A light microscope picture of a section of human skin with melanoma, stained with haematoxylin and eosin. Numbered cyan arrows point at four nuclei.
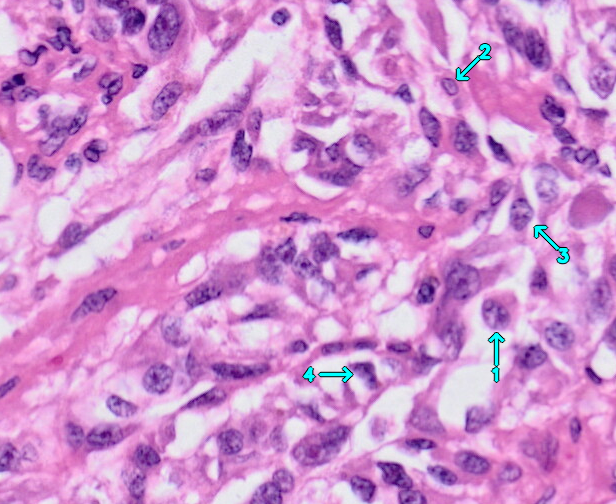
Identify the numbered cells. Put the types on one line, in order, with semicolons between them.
melanoma cell; macrophage or monocyte; melanoma cell; melanoma cell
